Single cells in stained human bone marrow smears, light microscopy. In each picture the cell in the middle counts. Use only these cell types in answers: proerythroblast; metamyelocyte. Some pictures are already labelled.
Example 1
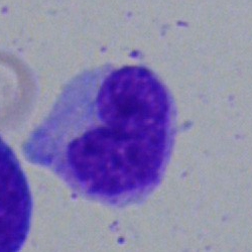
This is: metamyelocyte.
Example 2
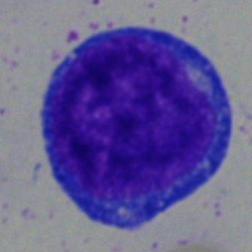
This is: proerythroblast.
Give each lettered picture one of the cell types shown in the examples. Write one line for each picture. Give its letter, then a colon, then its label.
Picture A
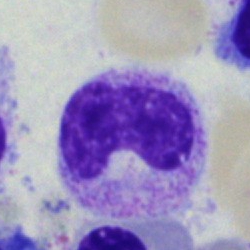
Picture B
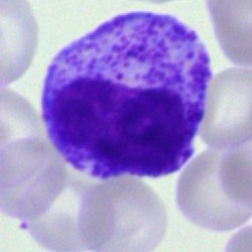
A: metamyelocyte.
B: metamyelocyte.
